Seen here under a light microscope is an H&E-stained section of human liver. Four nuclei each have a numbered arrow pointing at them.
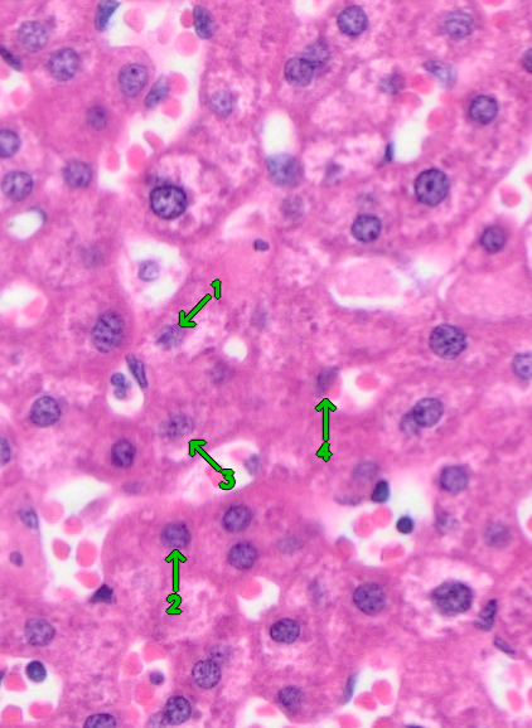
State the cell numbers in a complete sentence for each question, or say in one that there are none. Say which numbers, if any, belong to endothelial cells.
Cell 4 represents an endothelial cell, and no other numbered cell does.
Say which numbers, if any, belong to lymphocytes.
Of the numbered cells, none can be classed as lymphocytes.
